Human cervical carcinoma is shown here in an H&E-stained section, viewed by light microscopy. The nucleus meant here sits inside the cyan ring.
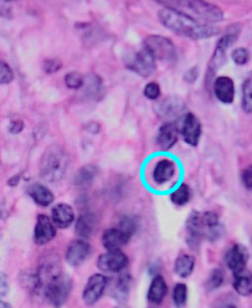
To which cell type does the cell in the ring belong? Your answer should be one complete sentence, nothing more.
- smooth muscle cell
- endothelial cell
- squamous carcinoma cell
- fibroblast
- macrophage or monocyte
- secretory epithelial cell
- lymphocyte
Cytologically, the cell in the ring is to be regarded as a lymphocyte.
